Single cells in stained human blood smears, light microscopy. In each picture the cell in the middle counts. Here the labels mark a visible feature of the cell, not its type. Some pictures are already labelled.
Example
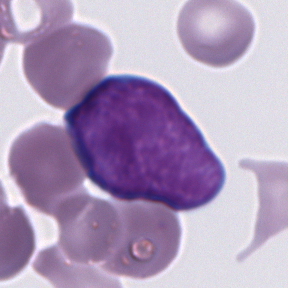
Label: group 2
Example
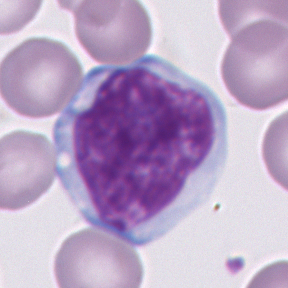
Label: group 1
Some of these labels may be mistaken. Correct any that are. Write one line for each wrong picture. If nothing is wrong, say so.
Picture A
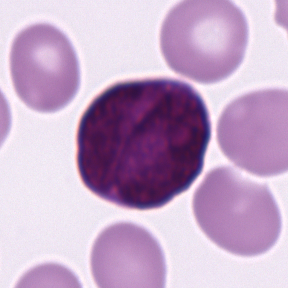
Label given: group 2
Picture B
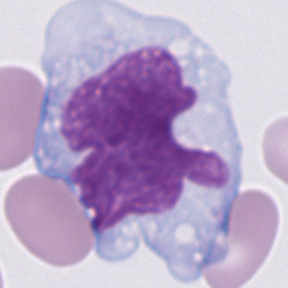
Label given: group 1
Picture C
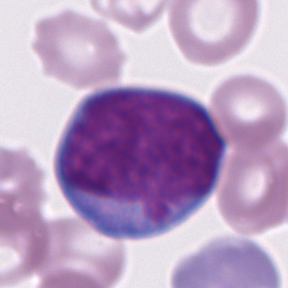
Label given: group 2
All correct.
